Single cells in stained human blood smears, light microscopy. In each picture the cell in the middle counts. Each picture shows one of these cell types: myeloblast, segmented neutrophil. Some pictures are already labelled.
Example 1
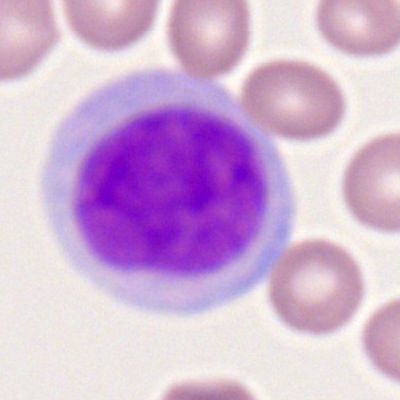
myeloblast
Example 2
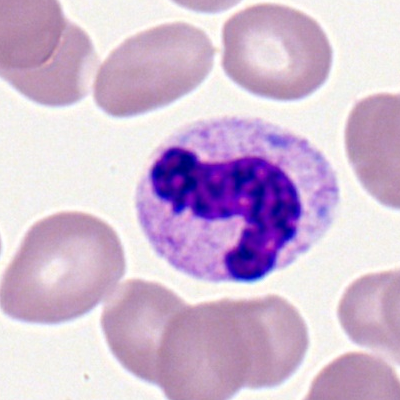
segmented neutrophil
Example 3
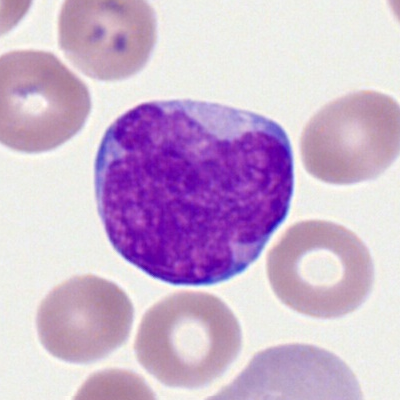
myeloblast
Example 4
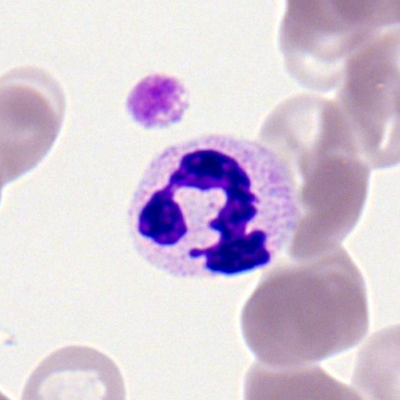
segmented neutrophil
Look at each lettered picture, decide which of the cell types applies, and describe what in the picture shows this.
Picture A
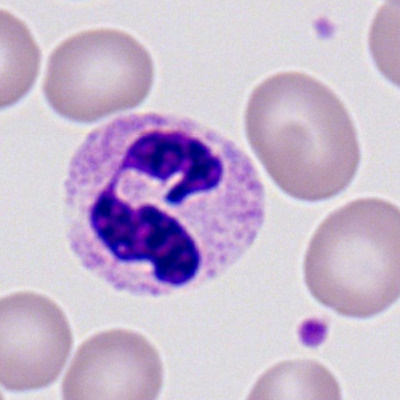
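Answer: segmented neutrophil. The nucleus is a single curved band bent into an S-like shape.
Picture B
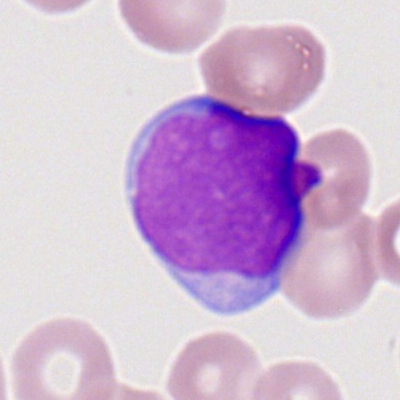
Answer: myeloblast. The nucleus fills most of the cell.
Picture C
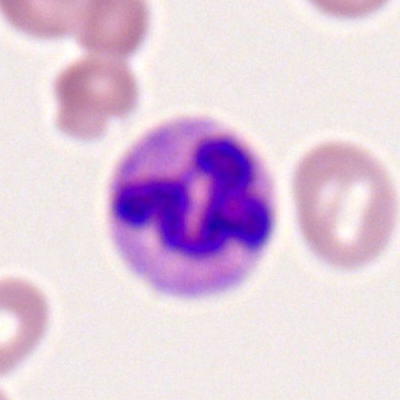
Answer: segmented neutrophil. The cytoplasm is plentiful and pale pinkish-lilac.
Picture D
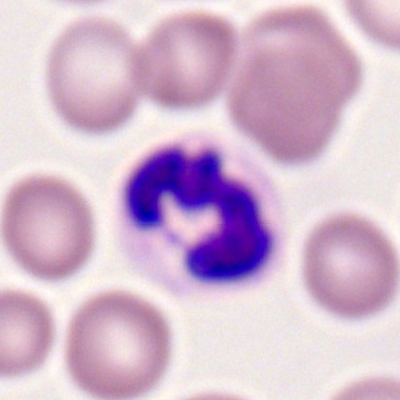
Answer: segmented neutrophil. The cytoplasm is pale pinkish-lilac and fills much of the cell around the nucleus.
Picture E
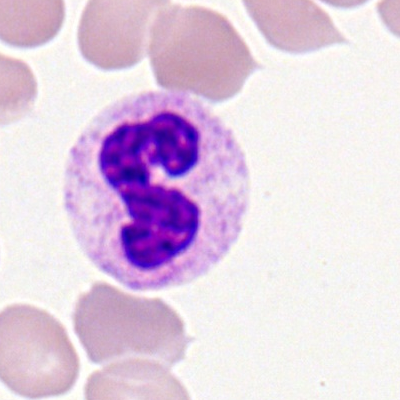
Answer: segmented neutrophil. The cytoplasm is plentiful and pale pink.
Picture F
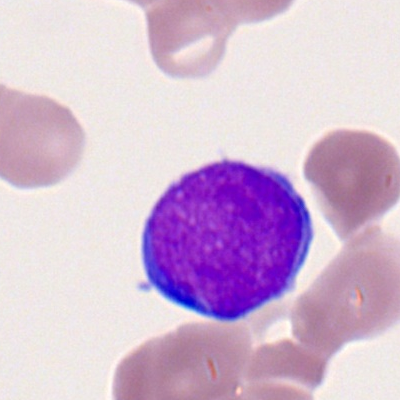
Answer: myeloblast. The rim of cytoplasm is deep blue.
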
